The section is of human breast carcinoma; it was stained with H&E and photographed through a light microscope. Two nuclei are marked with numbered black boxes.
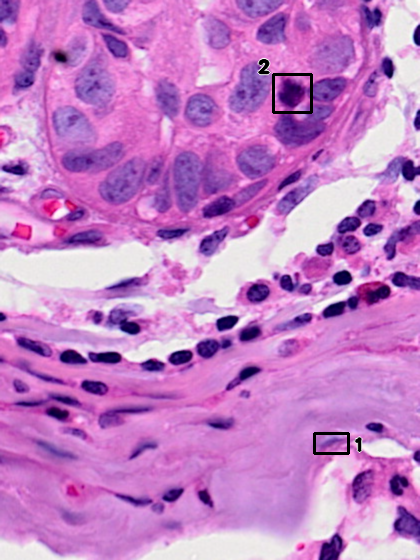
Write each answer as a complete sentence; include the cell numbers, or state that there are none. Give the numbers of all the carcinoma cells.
Cell number 2 alone is a carcinoma cell; the rest are not.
